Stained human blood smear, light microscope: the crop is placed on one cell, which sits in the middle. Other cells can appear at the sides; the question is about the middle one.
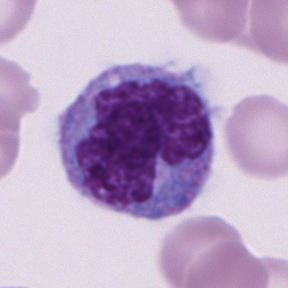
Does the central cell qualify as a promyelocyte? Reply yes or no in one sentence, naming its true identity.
No, the middle of this crop is occupied by a monocyte rather than a promyelocyte.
